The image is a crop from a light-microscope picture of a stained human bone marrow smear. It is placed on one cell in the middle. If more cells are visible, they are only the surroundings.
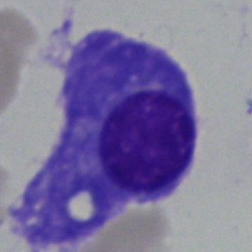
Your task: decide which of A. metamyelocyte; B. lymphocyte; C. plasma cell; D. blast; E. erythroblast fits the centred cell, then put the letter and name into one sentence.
The centrally located cell is a plasma cell, making option C the correct choice.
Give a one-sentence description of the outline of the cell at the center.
The edge of the cell is broken up by ragged stretches or by outward projections.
